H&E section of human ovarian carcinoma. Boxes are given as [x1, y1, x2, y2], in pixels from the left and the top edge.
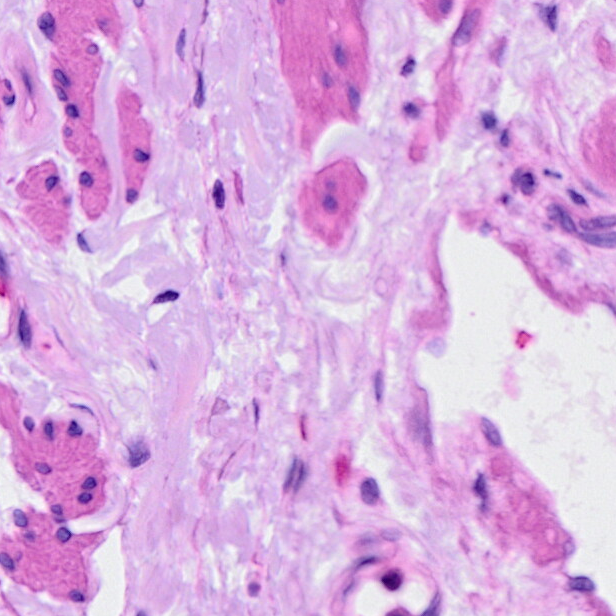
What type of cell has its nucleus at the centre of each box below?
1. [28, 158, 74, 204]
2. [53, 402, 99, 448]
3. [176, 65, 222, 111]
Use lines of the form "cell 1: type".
cell 1: smooth muscle cell
cell 2: smooth muscle cell
cell 3: fibroblast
